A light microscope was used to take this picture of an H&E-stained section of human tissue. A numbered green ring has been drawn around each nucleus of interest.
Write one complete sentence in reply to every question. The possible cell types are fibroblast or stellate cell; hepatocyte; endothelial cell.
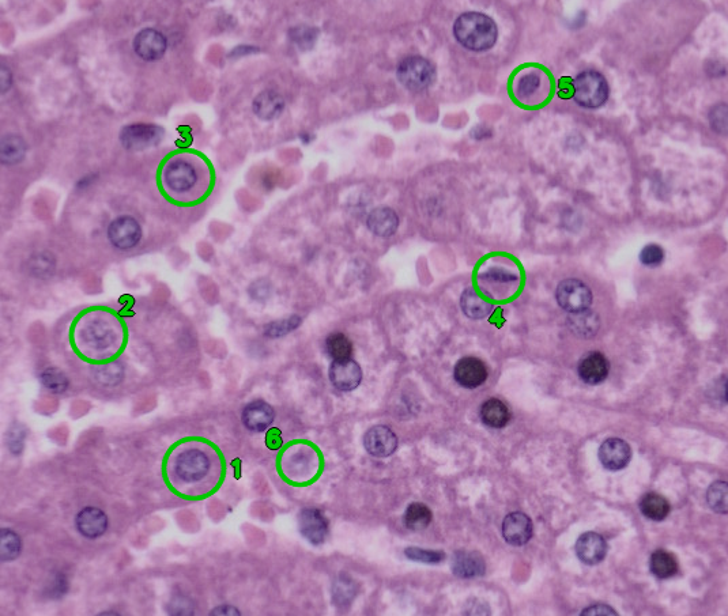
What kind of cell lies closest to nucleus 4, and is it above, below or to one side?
The nearest nucleus is that of a hepatocyte and lies below and to the left of nucleus 4.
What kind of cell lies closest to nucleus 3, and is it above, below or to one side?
Just above and to the left of nucleus 3 lies the nearest nucleus, which belongs to an endothelial cell.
